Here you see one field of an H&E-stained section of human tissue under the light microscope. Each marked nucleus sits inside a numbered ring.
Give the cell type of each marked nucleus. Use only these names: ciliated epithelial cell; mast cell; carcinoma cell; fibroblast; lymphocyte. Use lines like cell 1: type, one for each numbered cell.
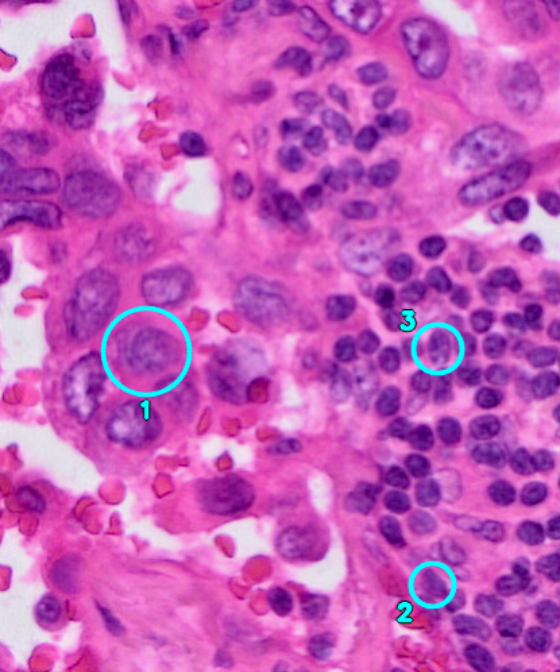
cell 1: carcinoma cell
cell 2: lymphocyte
cell 3: lymphocyte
